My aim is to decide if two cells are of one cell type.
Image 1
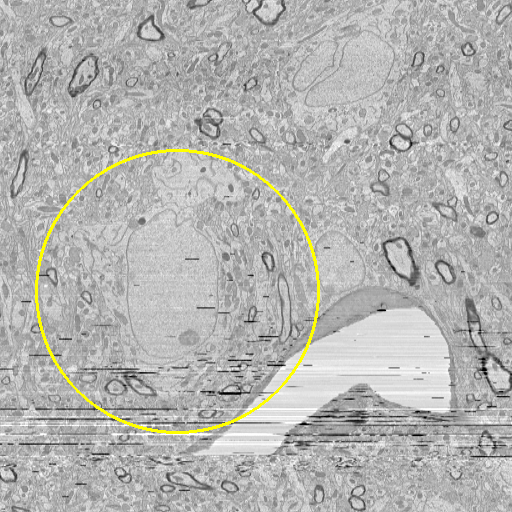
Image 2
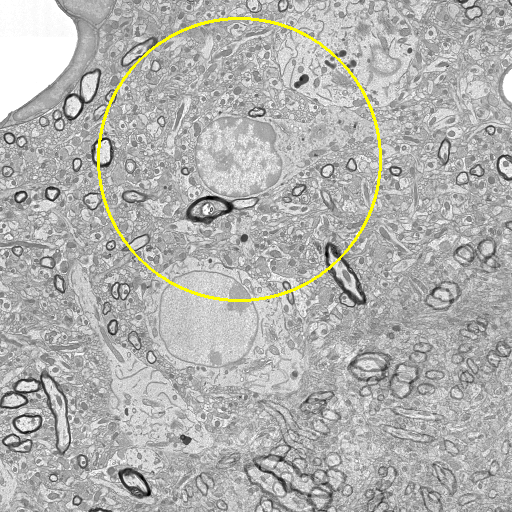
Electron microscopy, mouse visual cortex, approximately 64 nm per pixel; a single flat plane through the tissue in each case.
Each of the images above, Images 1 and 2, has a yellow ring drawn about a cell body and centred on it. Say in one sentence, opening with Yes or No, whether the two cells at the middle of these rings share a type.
No, in Images 1 and 2 the cells at the middle of the rings fall into two types.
